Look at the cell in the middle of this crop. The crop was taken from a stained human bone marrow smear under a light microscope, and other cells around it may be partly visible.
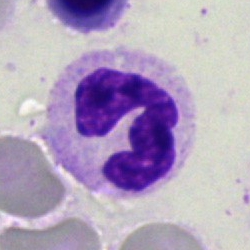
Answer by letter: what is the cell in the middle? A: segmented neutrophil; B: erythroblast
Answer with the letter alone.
A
